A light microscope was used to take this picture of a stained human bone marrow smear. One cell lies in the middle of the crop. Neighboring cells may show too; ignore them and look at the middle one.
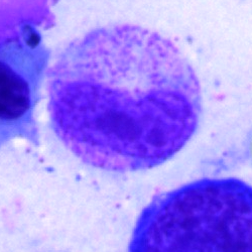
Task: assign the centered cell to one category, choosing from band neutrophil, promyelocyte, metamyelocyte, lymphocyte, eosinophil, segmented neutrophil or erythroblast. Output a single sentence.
Looking at the middle of the crop, the cell there is a band neutrophil.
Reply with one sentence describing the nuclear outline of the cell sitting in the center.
Its nucleus is compact and single, with a round, oval or kidney-shaped form.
